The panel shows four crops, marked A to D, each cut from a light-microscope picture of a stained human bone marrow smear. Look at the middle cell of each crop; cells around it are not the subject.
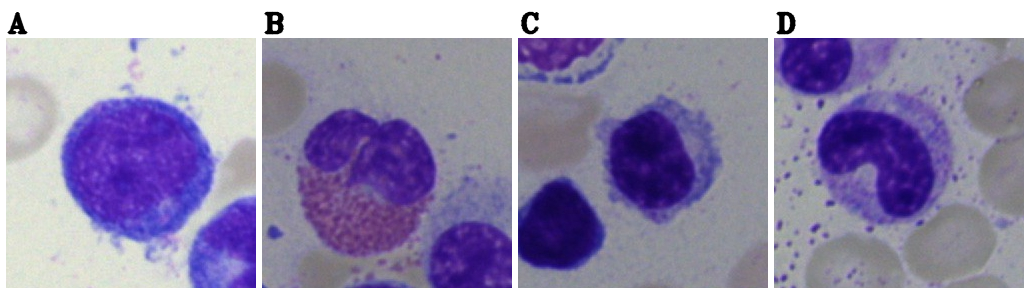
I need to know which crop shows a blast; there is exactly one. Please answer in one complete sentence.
Crop A, and no other, is the one that shows a blast.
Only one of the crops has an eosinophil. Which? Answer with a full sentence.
The crop showing an eosinophil in this series is crop B.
